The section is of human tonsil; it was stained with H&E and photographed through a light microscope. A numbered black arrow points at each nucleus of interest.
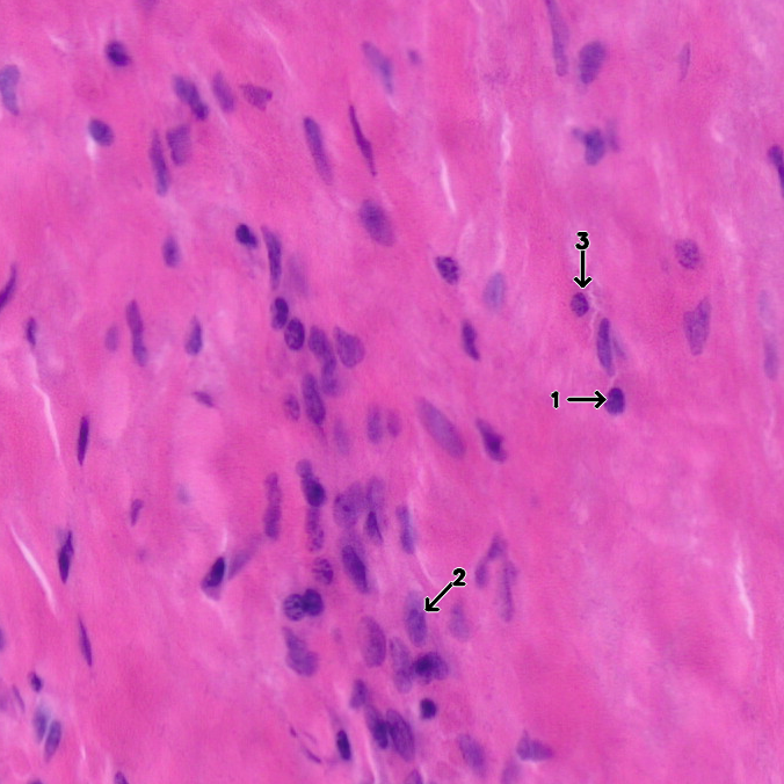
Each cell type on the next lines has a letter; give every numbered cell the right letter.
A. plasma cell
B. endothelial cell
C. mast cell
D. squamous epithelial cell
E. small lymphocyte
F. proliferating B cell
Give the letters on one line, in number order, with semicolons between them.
C; B; C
